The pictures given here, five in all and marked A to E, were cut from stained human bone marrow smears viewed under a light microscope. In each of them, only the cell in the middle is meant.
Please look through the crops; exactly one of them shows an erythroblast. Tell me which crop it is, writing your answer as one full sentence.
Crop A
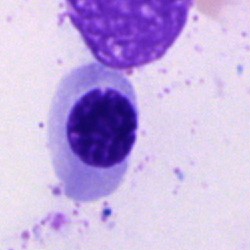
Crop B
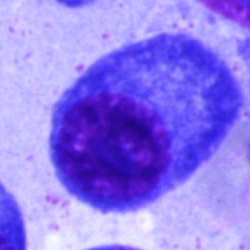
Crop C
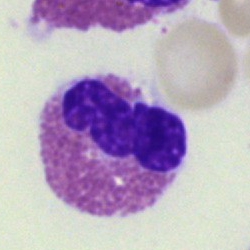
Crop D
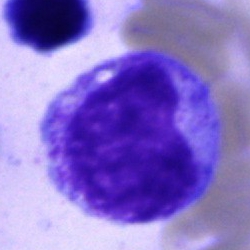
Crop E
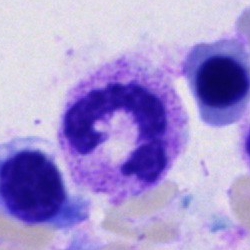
The cell at the center of crop A is the one that is an erythroblast.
